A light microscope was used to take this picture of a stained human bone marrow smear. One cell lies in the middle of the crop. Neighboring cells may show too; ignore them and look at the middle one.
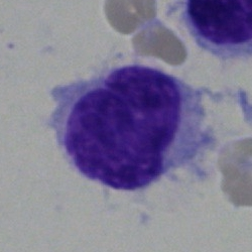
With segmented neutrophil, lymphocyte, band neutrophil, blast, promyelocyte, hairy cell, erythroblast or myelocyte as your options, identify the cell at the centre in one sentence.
For this crop, the cell in the middle is a hairy cell.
